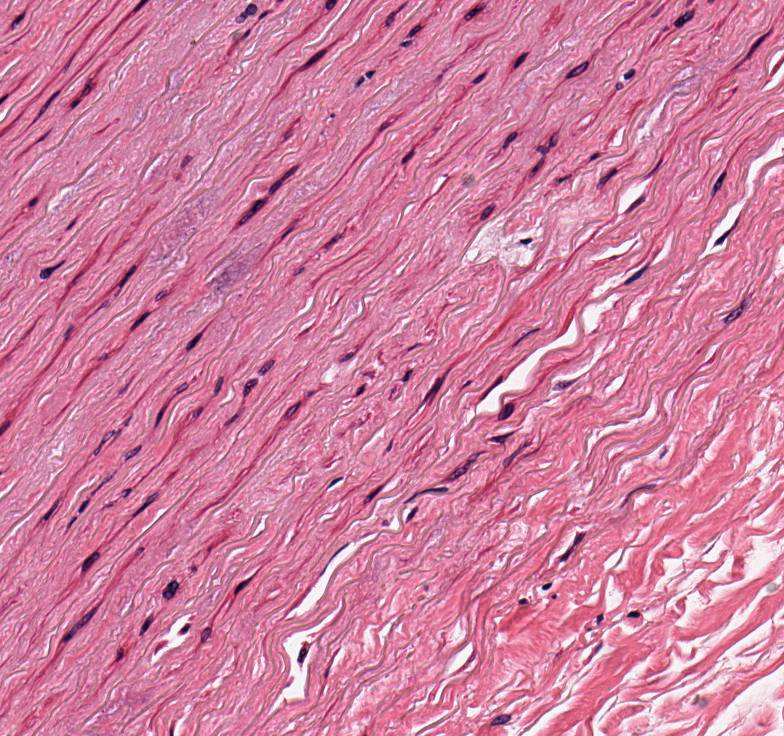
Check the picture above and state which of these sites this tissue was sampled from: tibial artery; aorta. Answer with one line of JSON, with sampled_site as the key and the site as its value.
{"sampled_site": "aorta"}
